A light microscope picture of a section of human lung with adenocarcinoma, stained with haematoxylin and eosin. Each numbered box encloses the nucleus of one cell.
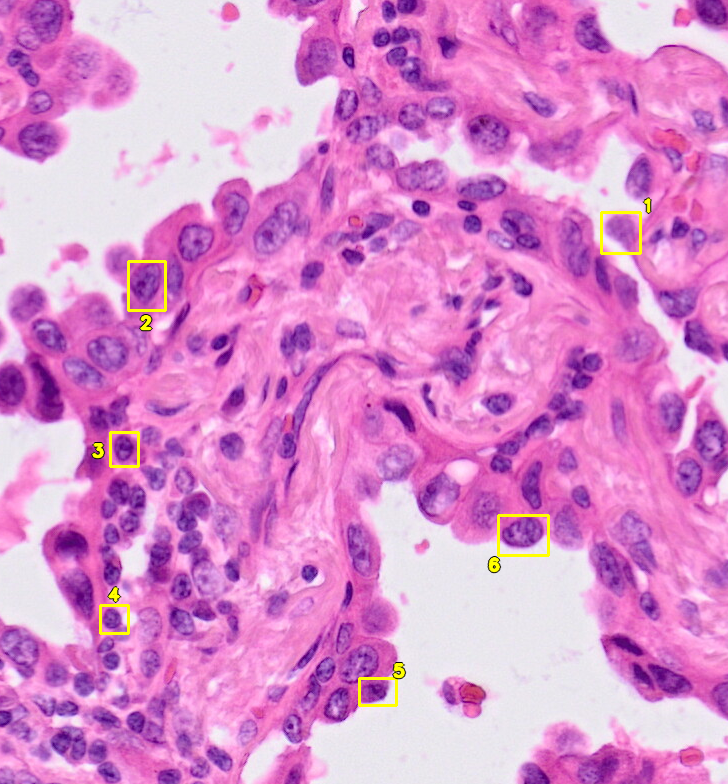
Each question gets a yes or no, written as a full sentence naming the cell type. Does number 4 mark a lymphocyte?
Yes, regarding cell number 4, it is a lymphocyte.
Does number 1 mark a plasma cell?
No, number 1 does not mark a plasma cell; it marks a carcinoma cell.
